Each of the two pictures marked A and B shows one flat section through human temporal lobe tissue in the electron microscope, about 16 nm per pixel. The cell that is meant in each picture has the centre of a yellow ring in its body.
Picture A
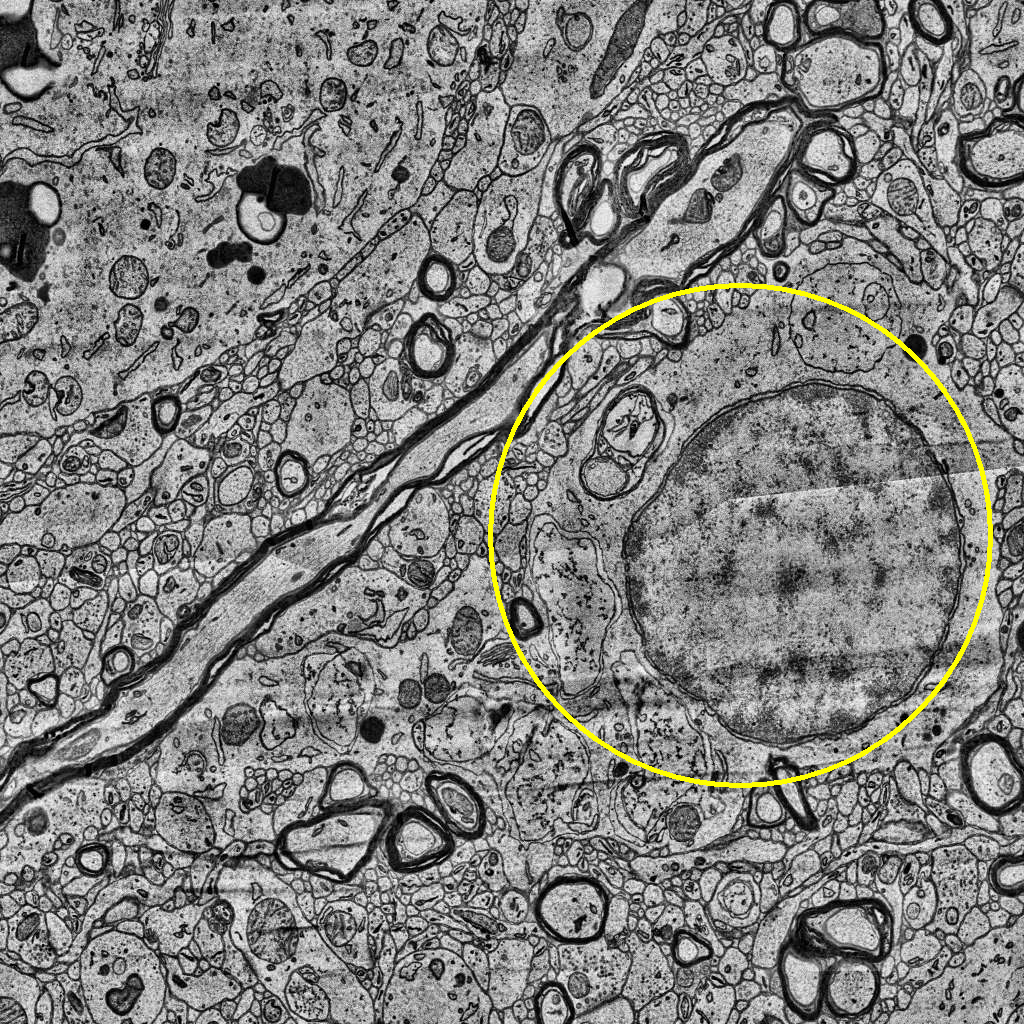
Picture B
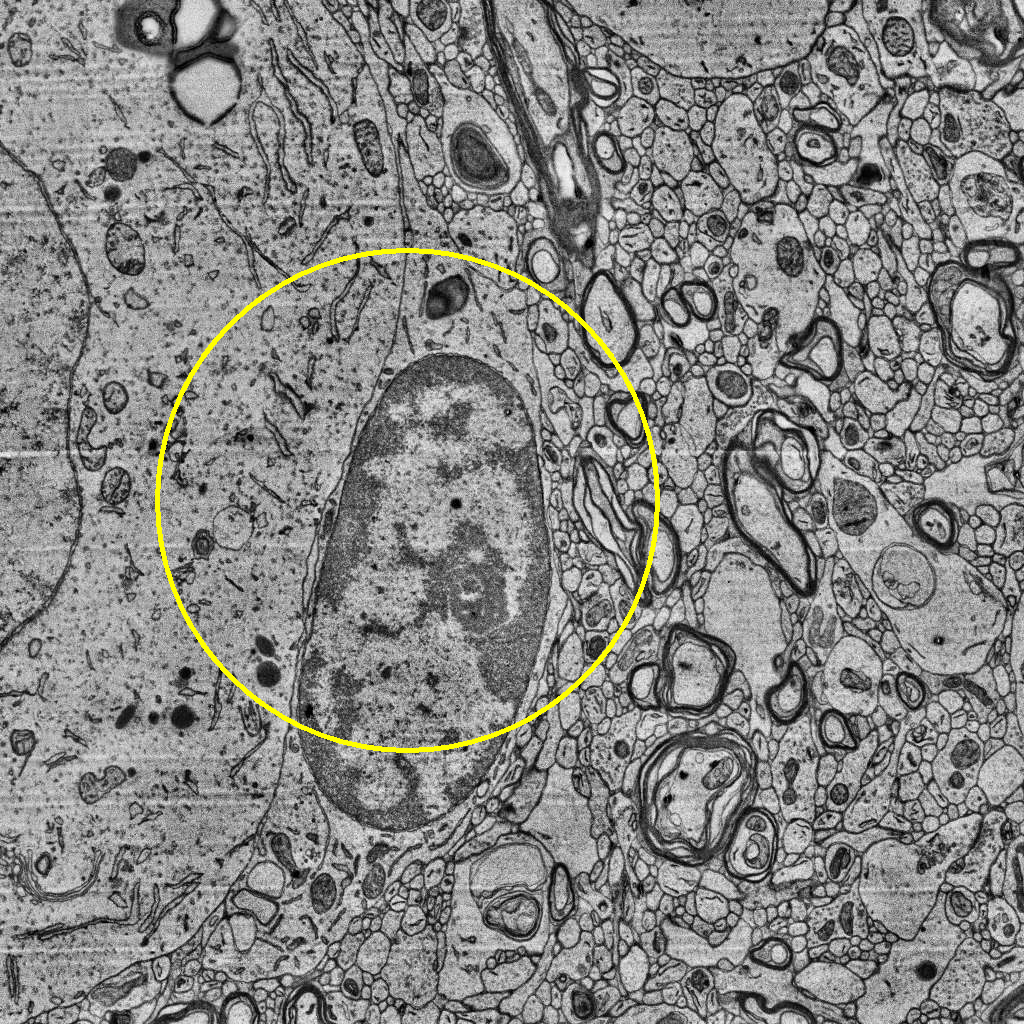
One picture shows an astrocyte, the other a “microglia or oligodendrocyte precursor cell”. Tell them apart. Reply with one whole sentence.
It is picture A that shows an astrocyte, and picture B that shows a “microglia or oligodendrocyte precursor cell”.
